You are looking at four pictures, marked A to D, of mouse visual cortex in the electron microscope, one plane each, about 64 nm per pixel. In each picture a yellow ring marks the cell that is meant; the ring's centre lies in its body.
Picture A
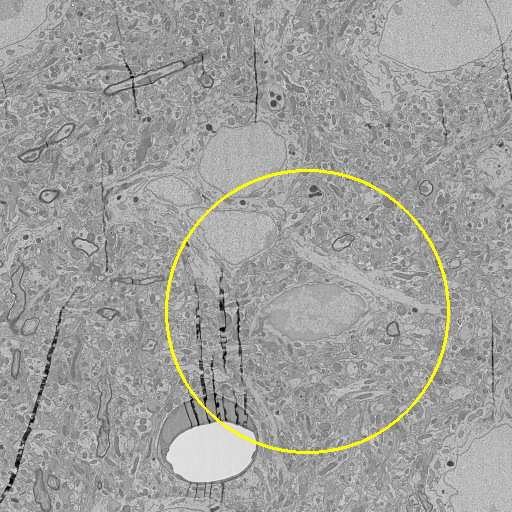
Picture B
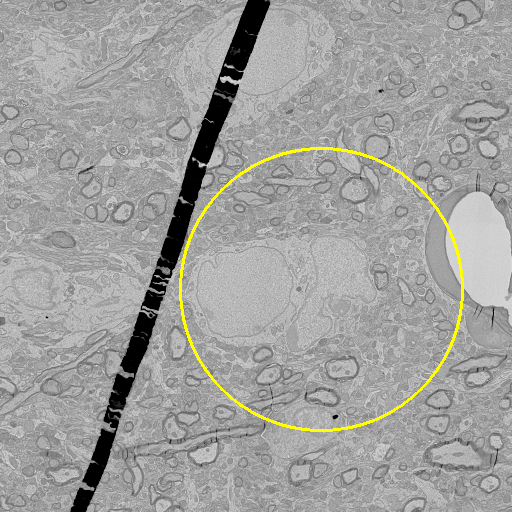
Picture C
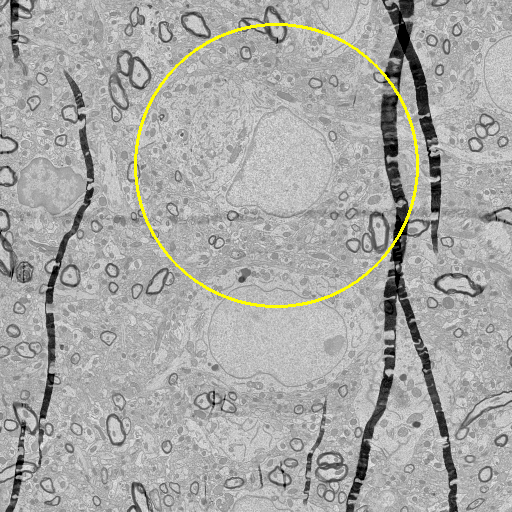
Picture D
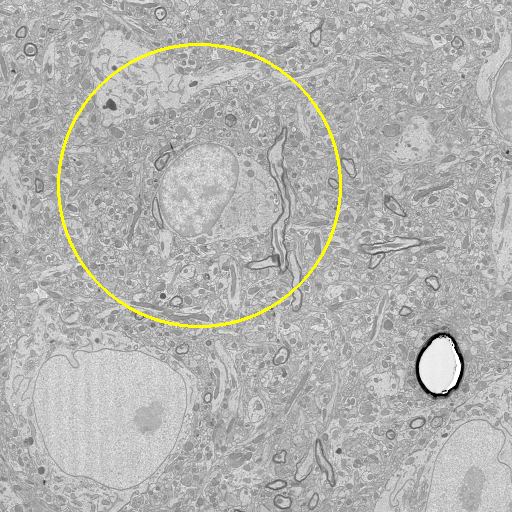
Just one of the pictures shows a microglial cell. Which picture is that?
Picture A is the one that shows the microglial cell.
